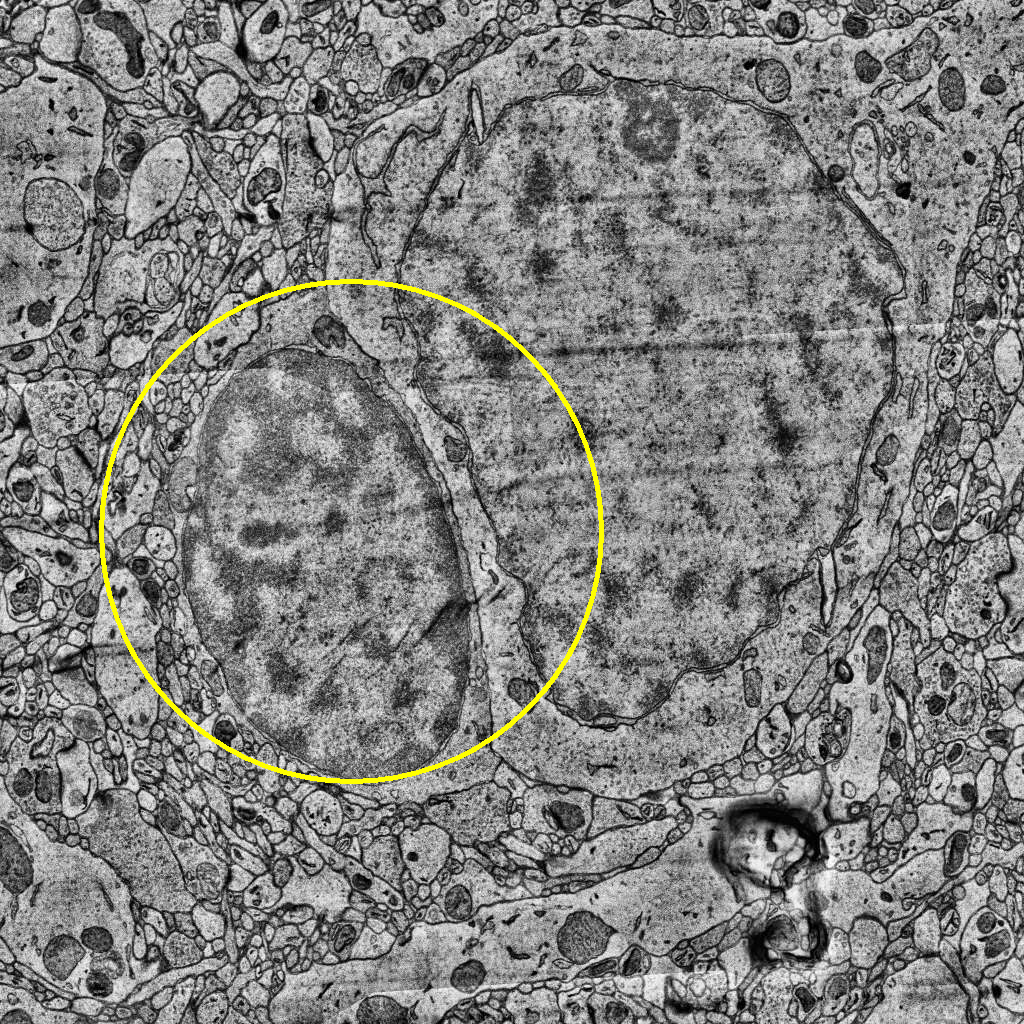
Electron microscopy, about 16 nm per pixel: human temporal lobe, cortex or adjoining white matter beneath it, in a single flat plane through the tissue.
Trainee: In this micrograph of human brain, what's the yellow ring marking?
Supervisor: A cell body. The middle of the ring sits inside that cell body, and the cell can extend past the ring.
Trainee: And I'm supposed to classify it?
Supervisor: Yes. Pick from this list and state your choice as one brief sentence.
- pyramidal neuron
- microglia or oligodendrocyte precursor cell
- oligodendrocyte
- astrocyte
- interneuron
The cell at the ring's center is an oligodendrocyte.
